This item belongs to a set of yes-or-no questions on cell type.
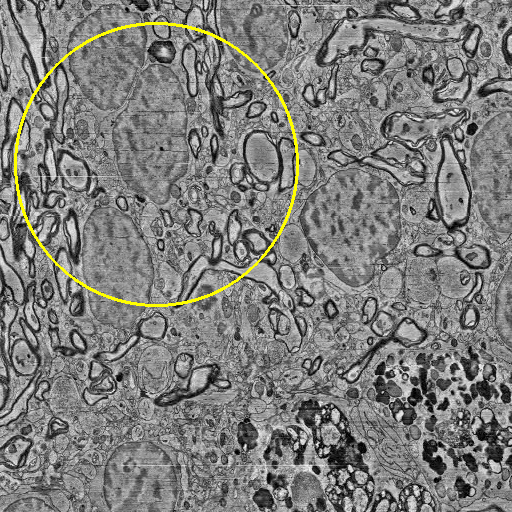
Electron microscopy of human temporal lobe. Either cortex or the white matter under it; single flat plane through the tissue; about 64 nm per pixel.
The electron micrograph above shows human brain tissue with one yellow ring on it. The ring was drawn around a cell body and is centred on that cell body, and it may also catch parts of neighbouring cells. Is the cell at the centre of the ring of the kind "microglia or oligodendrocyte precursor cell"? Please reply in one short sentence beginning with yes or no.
No, that cell is of another kind.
